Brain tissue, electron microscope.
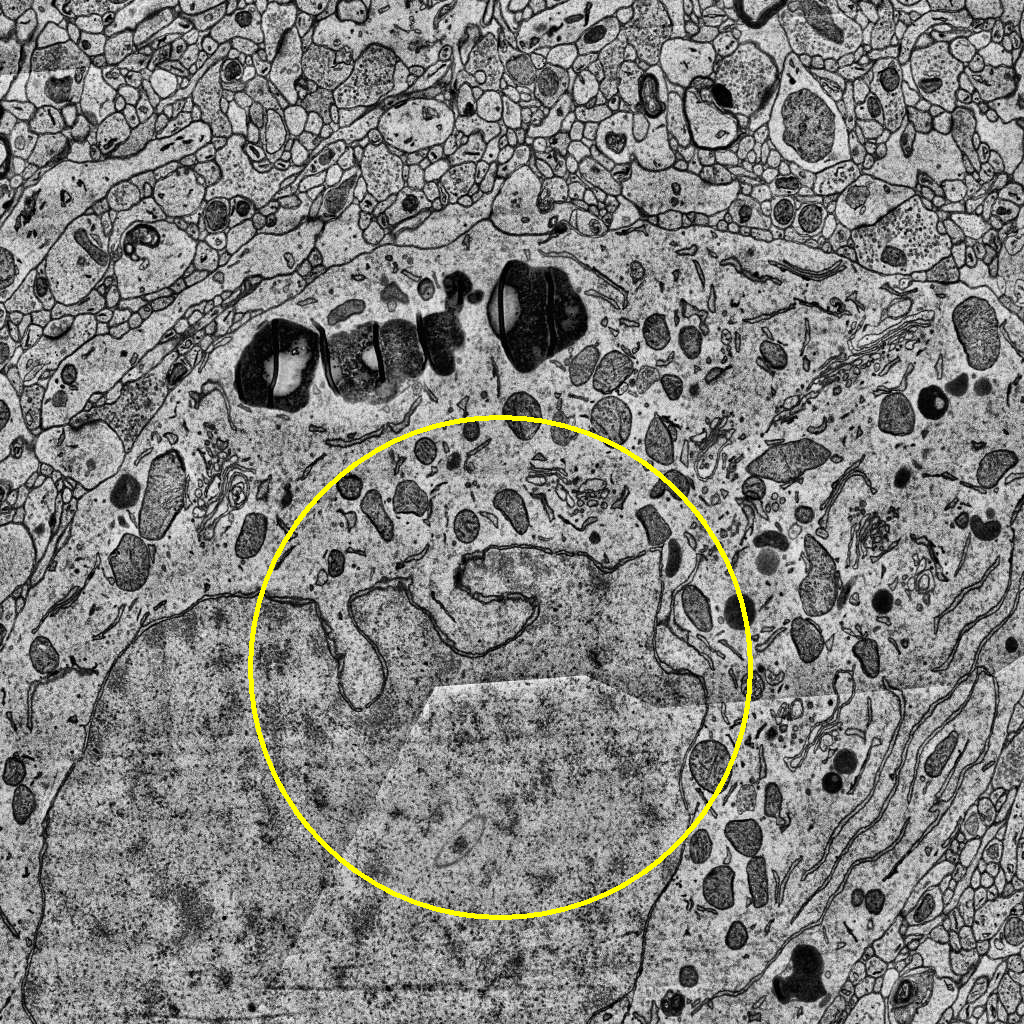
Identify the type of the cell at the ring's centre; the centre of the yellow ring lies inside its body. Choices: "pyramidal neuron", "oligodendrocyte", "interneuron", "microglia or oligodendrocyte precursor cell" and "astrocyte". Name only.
interneuron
